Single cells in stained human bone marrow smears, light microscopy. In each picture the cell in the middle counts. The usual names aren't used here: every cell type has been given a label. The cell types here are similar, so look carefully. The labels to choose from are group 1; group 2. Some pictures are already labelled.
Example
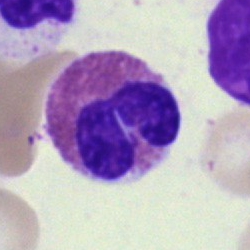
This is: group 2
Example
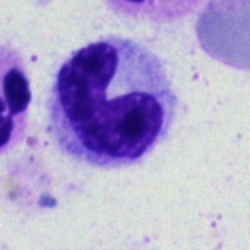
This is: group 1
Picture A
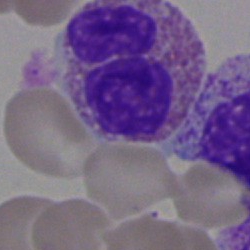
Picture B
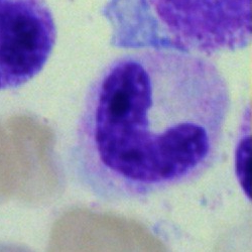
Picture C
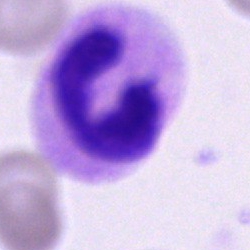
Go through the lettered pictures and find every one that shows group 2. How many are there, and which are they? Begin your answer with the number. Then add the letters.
1: A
